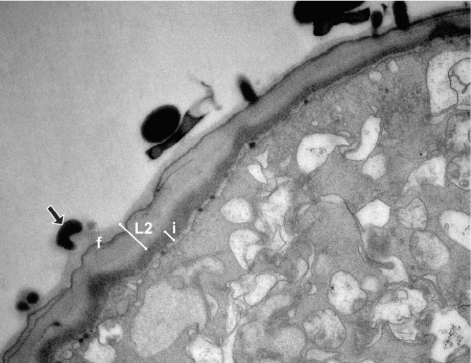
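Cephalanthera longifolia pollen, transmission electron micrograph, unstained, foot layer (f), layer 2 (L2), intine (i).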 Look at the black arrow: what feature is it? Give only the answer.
loosely scattered granules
